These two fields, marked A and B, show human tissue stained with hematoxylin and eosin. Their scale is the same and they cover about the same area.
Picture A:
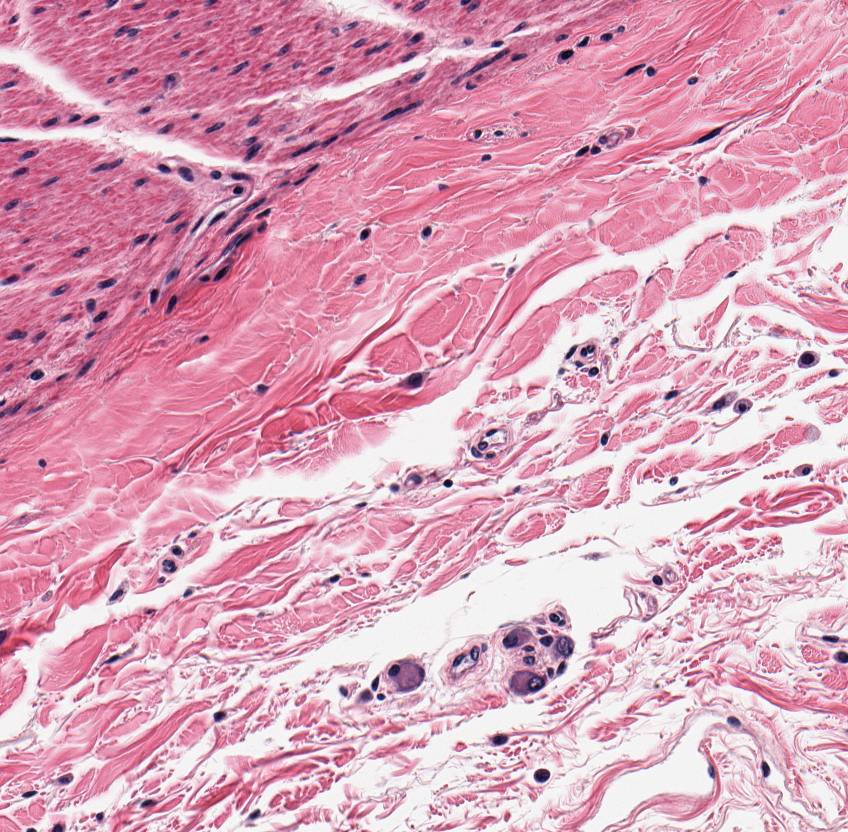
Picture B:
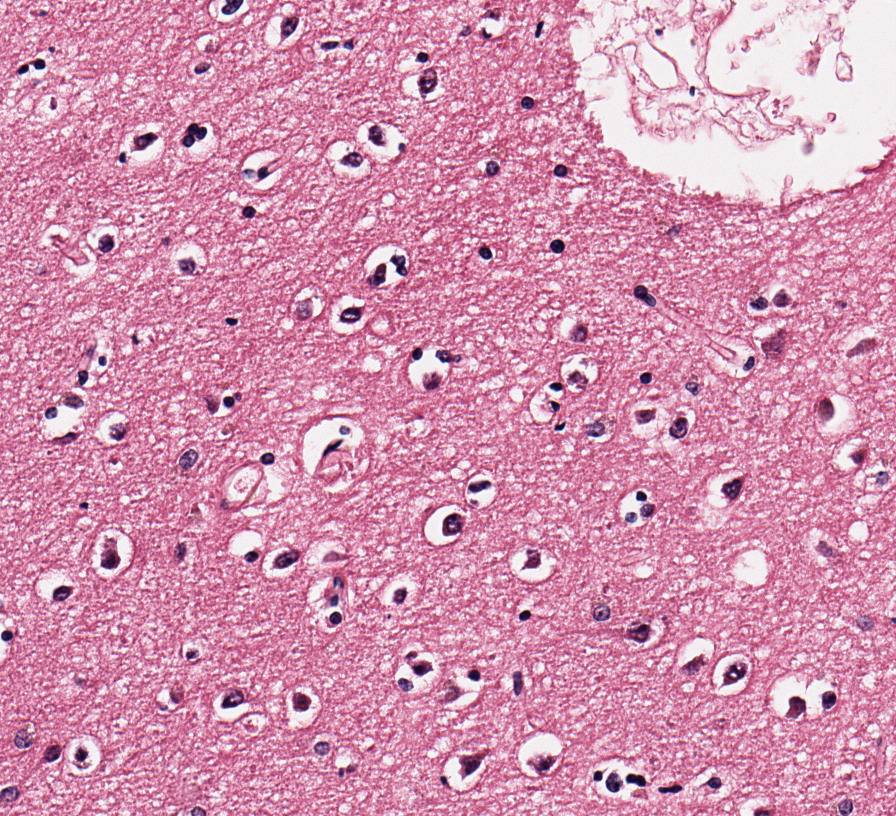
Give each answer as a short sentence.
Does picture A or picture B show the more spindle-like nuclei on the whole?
The nuclei are more elongated in picture A.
